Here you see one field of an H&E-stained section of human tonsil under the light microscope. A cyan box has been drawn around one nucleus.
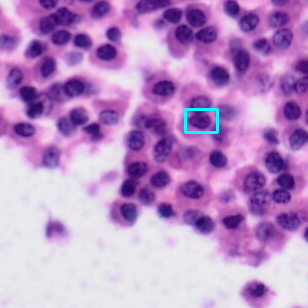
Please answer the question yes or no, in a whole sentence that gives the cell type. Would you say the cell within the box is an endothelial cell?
No, it is as a plasma cell, not an endothelial cell, that the cell within the box is classified.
